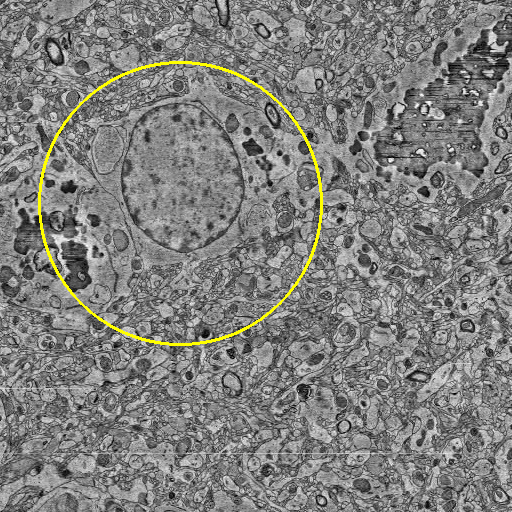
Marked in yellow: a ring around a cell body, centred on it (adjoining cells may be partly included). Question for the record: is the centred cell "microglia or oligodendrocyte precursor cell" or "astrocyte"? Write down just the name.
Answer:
astrocyte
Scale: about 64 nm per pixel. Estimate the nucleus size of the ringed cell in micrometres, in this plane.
In this plane, the nucleus of the cell at the centre of the ring measures about 10 by 8 micrometres.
